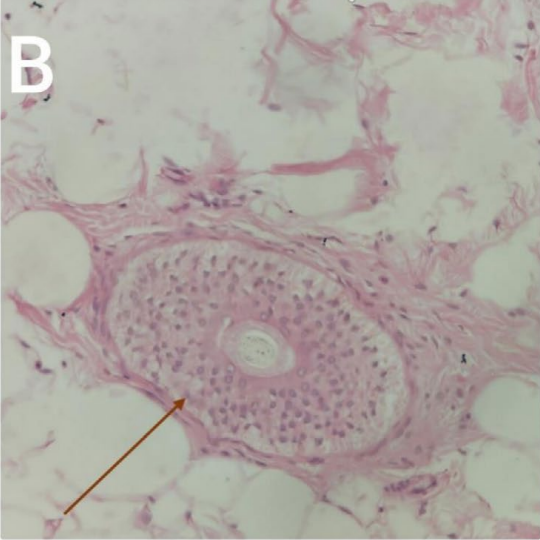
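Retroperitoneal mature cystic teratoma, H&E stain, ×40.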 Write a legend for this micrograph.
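This is a hair follicle cut across, lying in connective tissue among fat cells. A band of pink, wavy fibrous tissue wraps the follicle, and around it lie large empty fat cells.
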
